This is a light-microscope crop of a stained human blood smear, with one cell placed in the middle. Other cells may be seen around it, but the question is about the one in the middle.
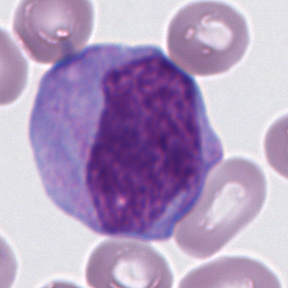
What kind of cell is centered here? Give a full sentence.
At the middle of the frame sits an atypical promyelocyte.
